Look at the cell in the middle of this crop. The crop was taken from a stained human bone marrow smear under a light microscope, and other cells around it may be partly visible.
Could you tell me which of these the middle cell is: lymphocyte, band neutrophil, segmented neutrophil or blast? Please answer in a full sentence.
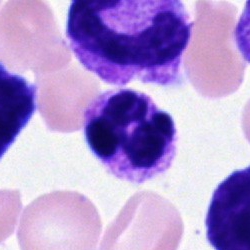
By type, the central cell of the crop is a segmented neutrophil.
